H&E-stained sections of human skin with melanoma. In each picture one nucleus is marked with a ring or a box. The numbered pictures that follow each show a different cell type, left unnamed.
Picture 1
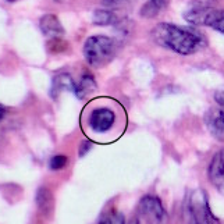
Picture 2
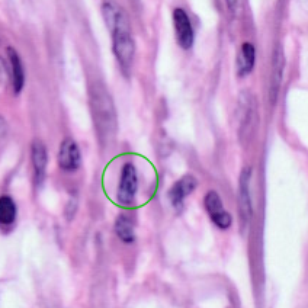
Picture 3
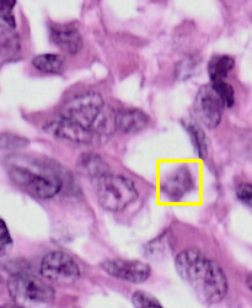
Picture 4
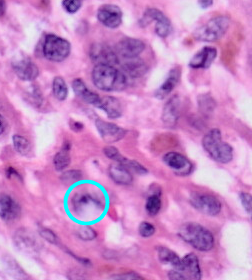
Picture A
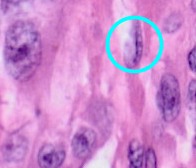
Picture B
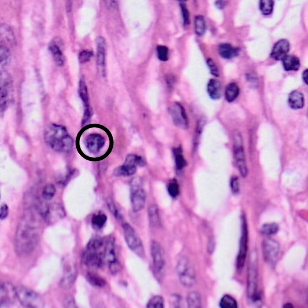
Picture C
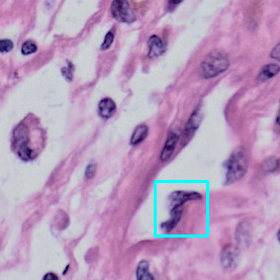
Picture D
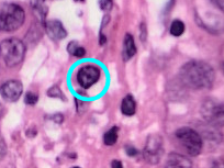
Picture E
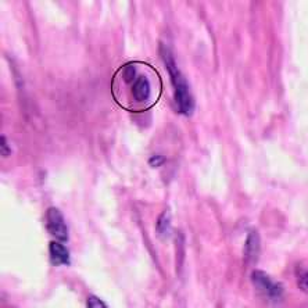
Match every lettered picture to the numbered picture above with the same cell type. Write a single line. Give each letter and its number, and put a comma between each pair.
A 4, B 1, C 4, D 2, E 2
